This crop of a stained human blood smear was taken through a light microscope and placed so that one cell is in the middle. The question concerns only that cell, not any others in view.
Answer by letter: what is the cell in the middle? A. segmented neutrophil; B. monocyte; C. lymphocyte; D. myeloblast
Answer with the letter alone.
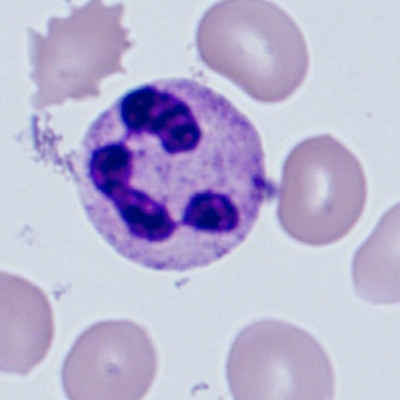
A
